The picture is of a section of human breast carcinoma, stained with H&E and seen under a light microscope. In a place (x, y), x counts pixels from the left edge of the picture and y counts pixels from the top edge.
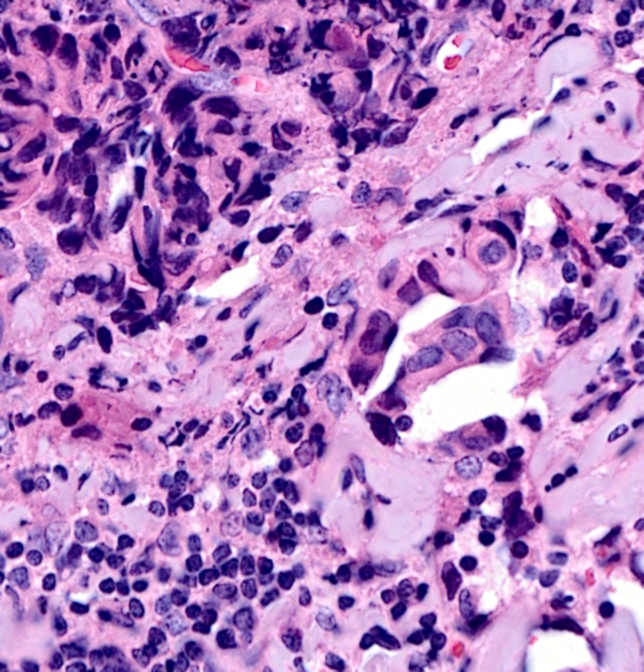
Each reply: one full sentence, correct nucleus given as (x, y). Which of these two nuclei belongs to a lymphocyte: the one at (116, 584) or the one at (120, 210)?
The cell to which the nucleus at (116, 584) belongs is a lymphocyte.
